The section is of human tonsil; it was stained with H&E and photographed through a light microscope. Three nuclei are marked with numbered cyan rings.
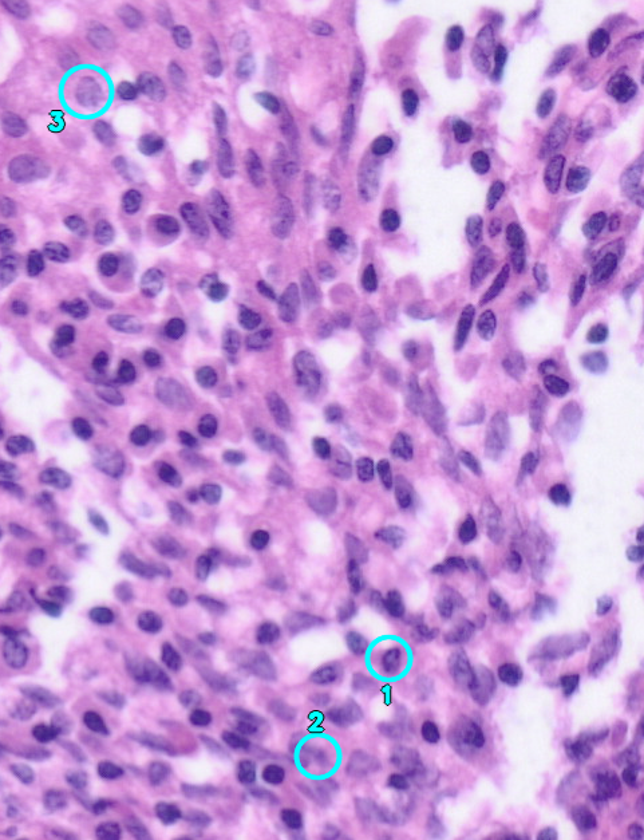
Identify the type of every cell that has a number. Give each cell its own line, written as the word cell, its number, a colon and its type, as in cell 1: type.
cell 1: plasma cell
cell 2: squamous epithelial cell
cell 3: squamous epithelial cell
